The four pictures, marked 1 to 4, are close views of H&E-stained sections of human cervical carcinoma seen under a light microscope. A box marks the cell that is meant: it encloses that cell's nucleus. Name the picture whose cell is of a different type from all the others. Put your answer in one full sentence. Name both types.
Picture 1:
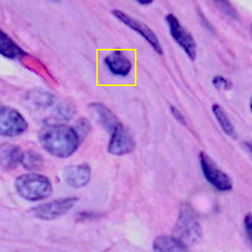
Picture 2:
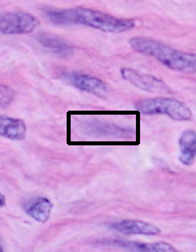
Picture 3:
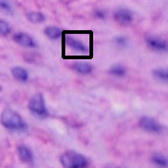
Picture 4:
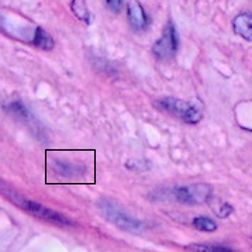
Picture 1 differs, because its cell is a fibroblast and the rest are smooth muscle cells.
